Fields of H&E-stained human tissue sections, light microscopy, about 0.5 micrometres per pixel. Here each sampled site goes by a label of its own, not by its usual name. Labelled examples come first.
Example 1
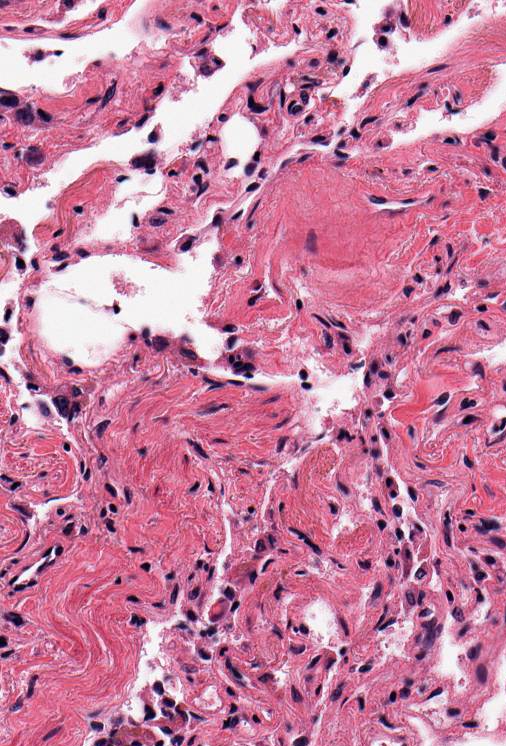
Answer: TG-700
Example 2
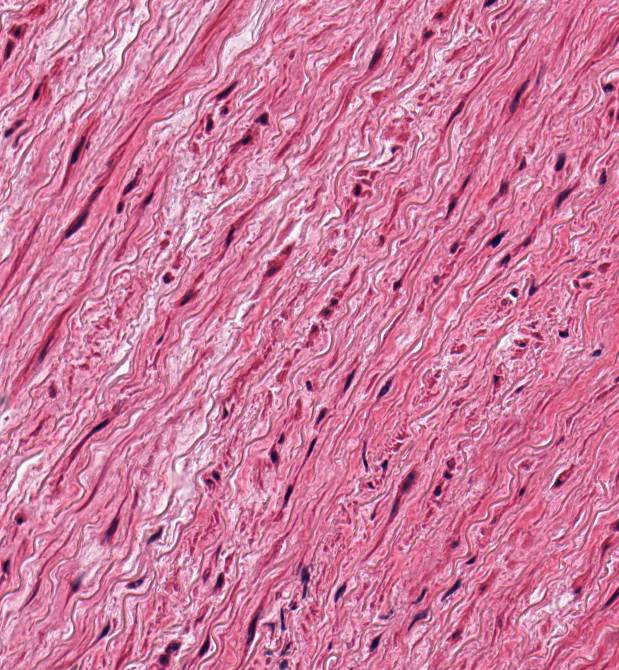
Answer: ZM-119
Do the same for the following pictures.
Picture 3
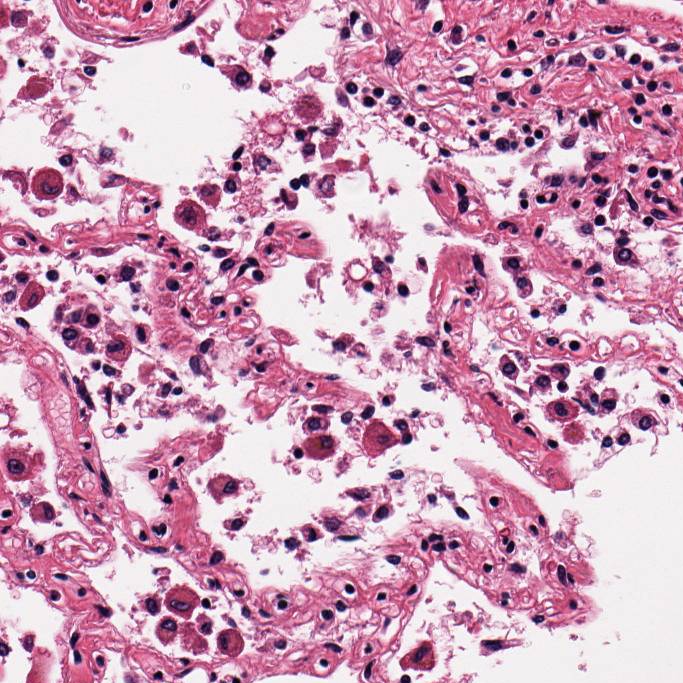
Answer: TG-700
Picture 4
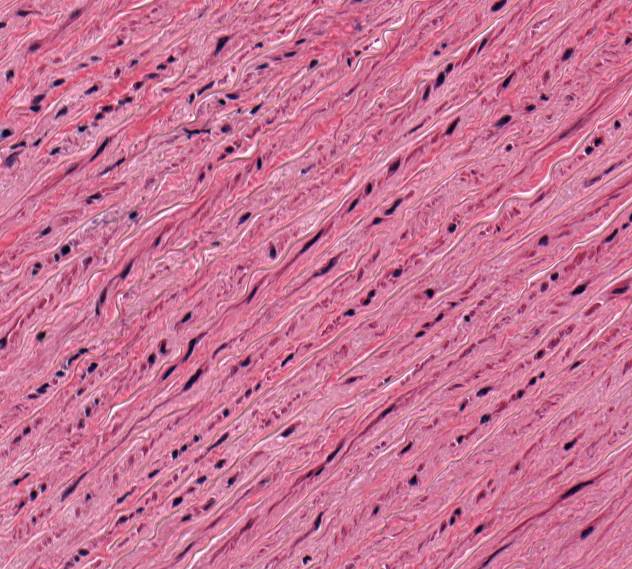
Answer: ZM-119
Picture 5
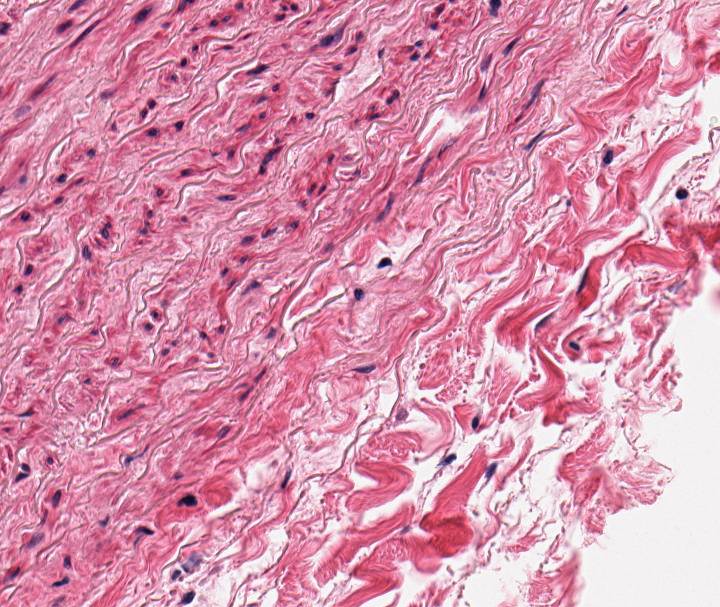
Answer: ZM-119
